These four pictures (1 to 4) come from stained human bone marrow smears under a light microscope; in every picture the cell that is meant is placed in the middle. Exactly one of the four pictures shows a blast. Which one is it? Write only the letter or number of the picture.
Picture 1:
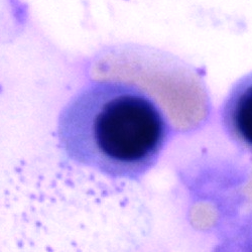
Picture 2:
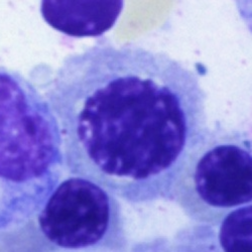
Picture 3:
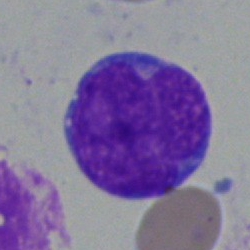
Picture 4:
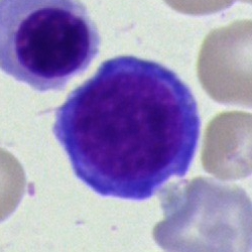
3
